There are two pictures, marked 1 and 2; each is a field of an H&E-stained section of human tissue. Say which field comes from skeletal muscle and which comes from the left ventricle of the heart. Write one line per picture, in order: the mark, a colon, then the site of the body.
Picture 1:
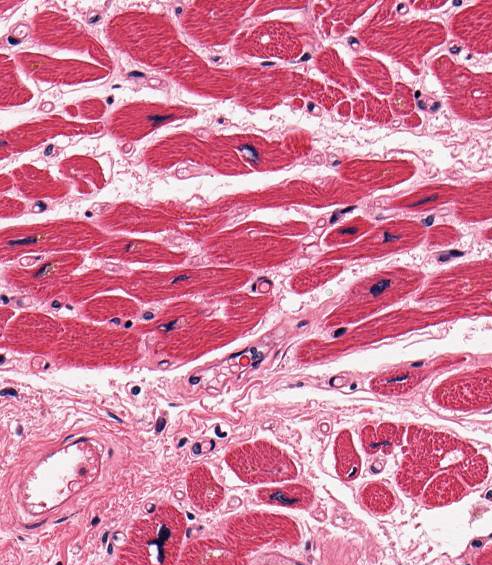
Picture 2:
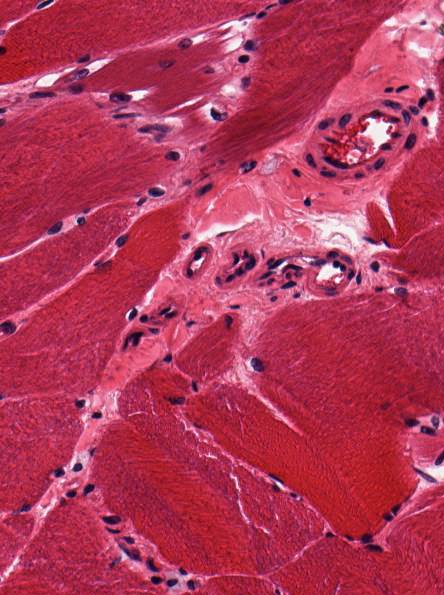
1: left ventricle of the heart
2: skeletal muscle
